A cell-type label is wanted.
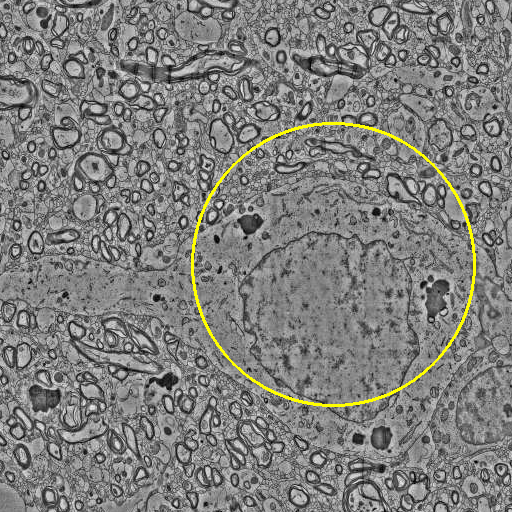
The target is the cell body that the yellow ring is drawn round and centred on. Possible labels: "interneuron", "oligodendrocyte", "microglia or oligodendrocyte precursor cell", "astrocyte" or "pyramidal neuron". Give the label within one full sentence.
Of the labels offered, the cell in the middle of the yellow ring is a pyramidal neuron.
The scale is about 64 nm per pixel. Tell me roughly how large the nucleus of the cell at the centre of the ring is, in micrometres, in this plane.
Roughly 12 micrometres across, measured in this plane.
